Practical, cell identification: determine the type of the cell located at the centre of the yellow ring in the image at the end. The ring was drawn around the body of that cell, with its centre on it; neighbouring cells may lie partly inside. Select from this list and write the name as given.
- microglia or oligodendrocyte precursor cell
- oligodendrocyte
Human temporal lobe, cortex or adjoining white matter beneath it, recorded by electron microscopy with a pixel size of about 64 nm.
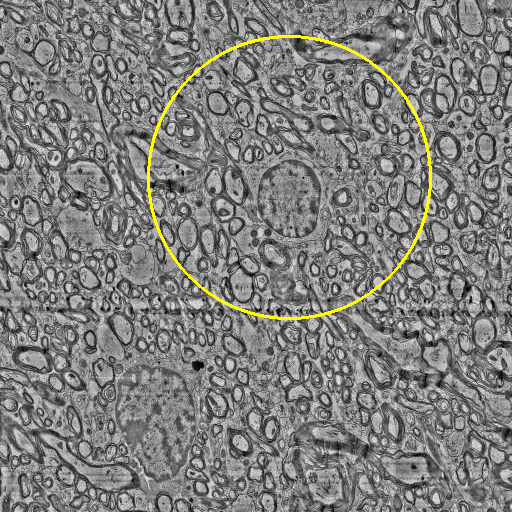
microglia or oligodendrocyte precursor cell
